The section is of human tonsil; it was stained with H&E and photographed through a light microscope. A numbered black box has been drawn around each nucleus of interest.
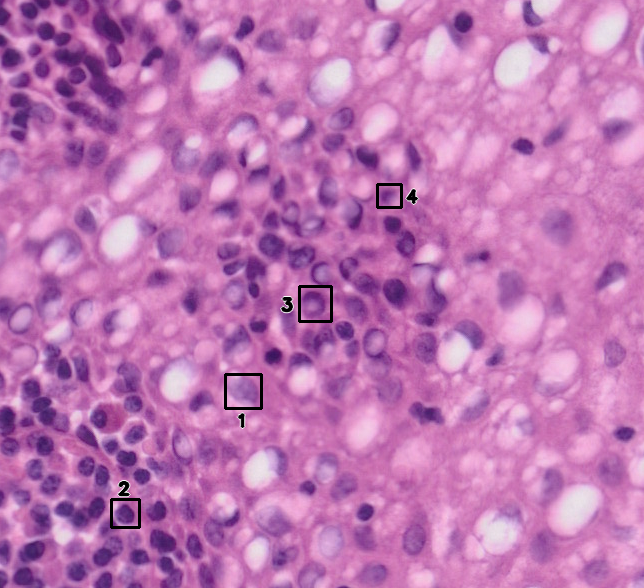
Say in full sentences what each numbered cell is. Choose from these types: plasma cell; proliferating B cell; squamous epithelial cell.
Cell 1 is a squamous epithelial cell, cell 2 is a plasma cell, cell 3 is a squamous epithelial cell and cell 4 is a squamous epithelial cell.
